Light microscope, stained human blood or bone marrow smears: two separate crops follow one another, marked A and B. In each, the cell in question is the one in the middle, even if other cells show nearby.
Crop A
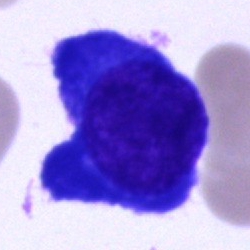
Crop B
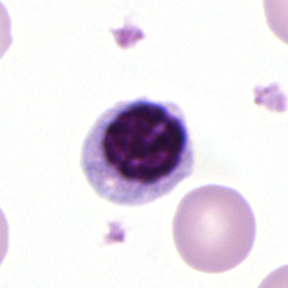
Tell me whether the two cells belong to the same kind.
no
